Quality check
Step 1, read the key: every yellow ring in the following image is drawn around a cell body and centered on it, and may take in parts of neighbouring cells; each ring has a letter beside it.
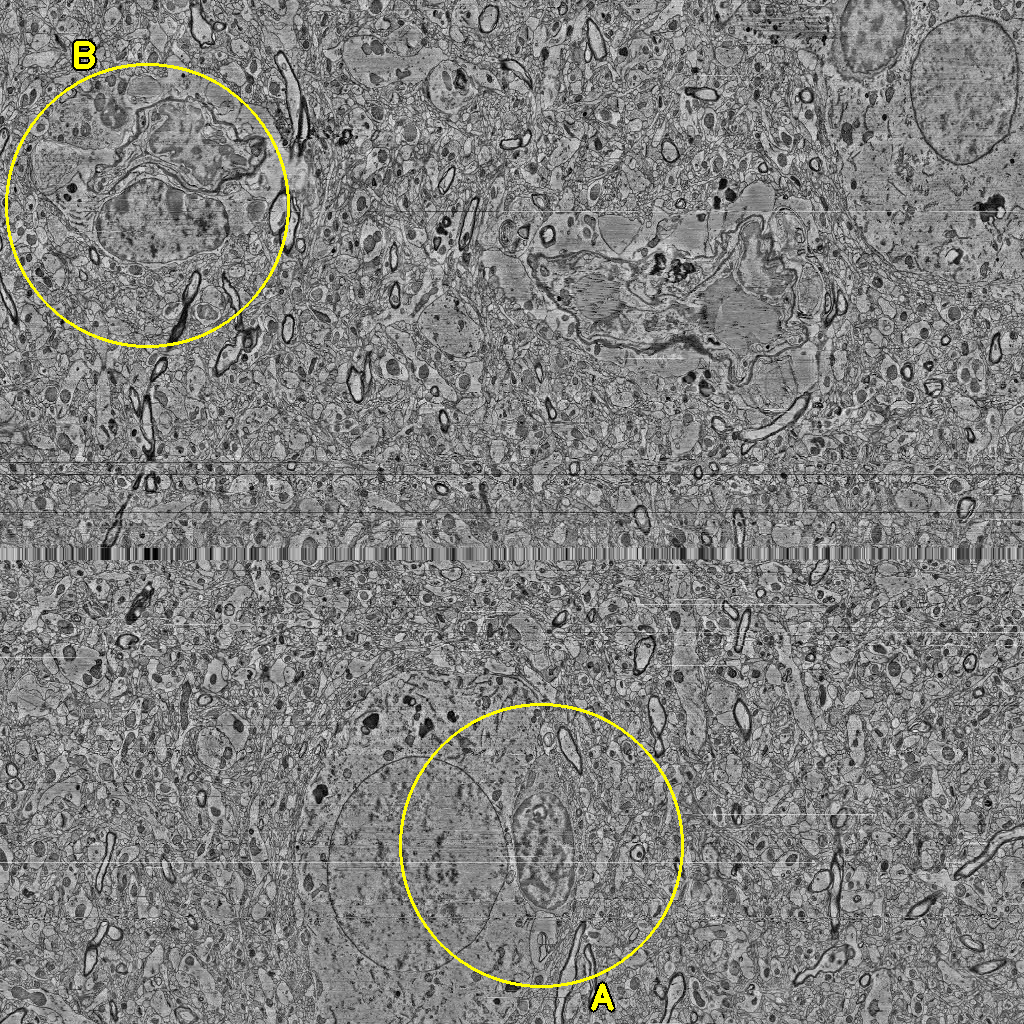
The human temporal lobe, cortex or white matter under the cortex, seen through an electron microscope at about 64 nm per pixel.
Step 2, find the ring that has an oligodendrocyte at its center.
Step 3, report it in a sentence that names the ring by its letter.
Ring A is centered on that cell.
